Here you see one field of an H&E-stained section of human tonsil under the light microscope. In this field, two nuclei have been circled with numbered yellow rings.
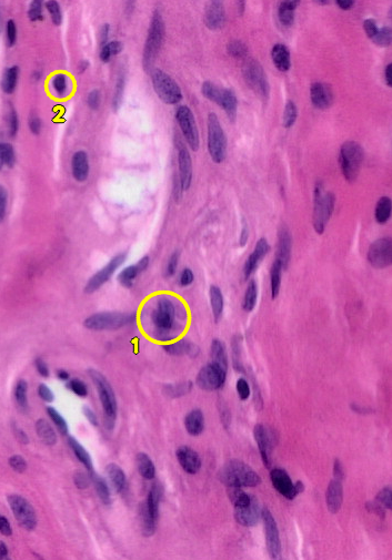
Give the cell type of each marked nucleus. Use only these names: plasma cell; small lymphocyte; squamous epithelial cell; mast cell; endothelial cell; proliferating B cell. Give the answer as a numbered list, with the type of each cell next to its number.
1. endothelial cell
2. mast cell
